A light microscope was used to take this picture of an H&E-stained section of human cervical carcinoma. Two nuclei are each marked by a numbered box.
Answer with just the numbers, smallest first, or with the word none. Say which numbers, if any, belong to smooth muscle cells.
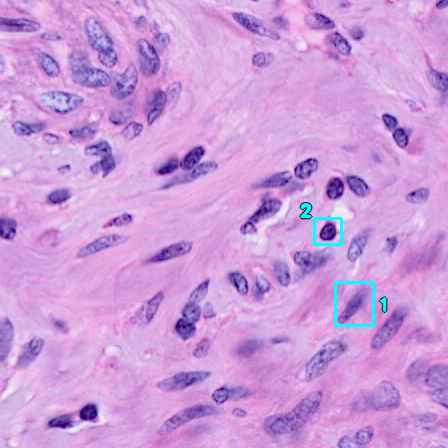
1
